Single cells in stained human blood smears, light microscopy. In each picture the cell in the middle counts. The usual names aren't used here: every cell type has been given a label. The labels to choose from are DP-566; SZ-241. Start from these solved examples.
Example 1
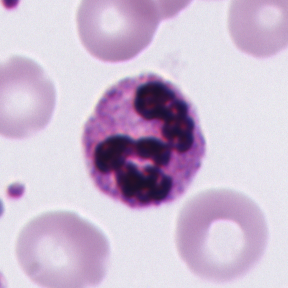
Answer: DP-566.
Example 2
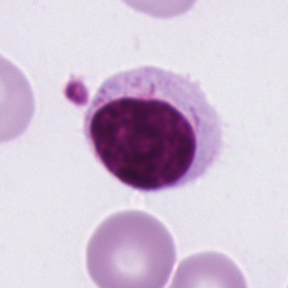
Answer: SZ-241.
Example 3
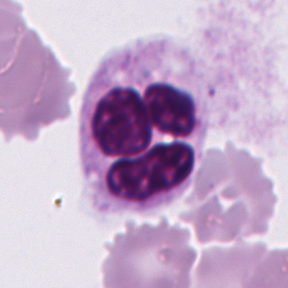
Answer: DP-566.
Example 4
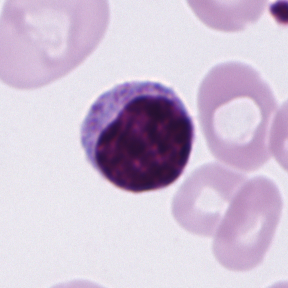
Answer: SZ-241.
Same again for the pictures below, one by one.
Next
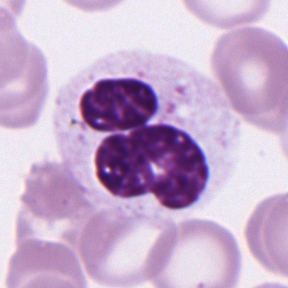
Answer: DP-566.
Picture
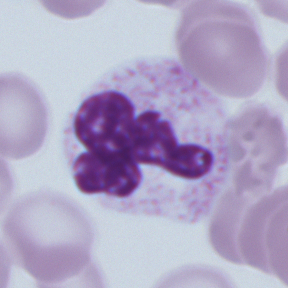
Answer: DP-566.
